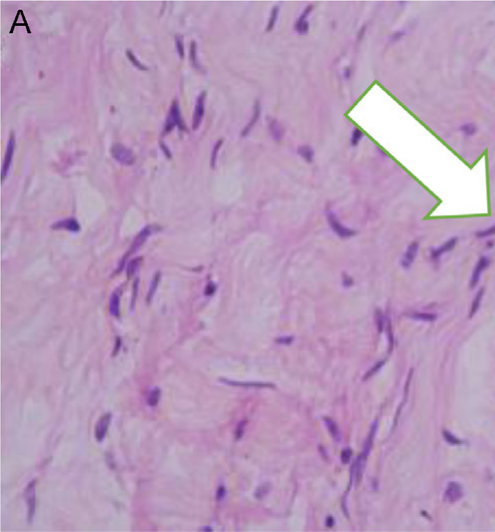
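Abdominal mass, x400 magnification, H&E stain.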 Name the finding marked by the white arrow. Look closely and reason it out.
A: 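Nuclei with a wavy appearance. The arrow points to slender, elongated dark purple nuclei. Several nuclei are curved or bent rather than straight. The nuclei lie sparsely in pale pink fibrillar stroma.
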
